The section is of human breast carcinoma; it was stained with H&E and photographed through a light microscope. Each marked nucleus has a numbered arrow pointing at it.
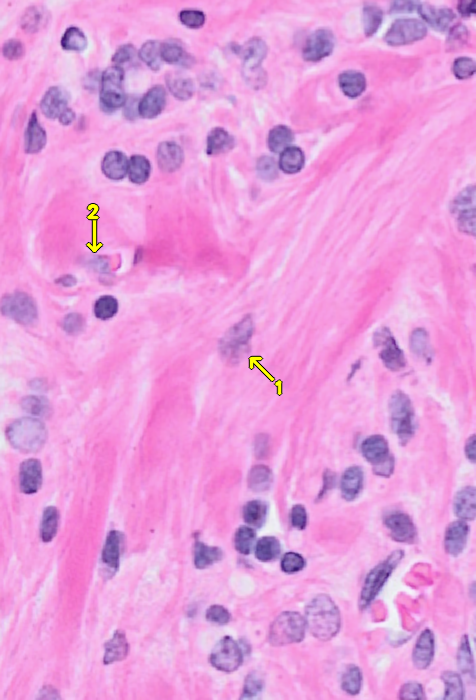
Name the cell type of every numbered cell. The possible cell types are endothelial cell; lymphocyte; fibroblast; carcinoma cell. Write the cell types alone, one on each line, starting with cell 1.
fibroblast
endothelial cell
